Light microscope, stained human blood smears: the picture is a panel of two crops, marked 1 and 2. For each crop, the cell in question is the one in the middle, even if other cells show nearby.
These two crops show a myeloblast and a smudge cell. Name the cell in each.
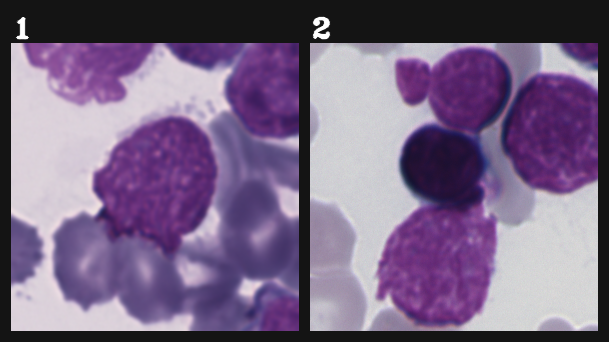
1: smudge cell
2: myeloblast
